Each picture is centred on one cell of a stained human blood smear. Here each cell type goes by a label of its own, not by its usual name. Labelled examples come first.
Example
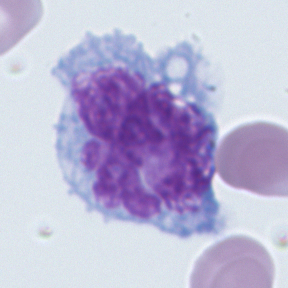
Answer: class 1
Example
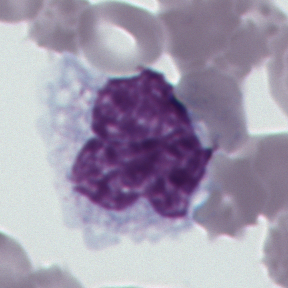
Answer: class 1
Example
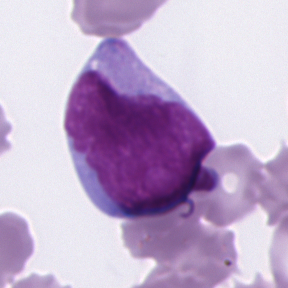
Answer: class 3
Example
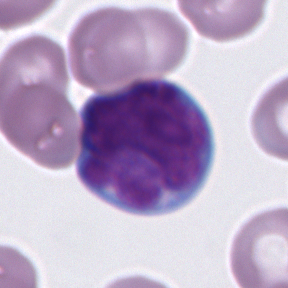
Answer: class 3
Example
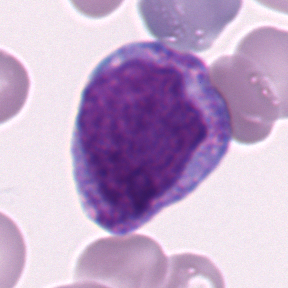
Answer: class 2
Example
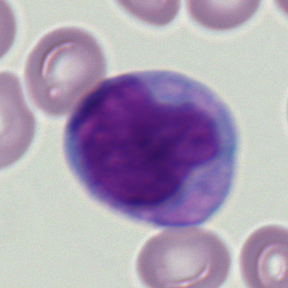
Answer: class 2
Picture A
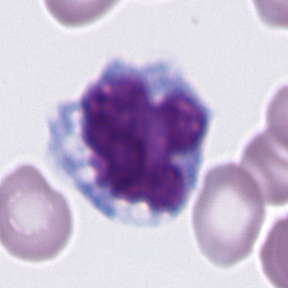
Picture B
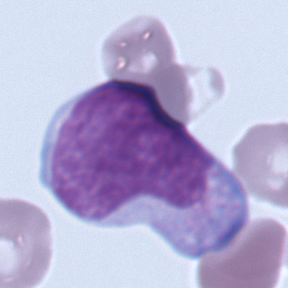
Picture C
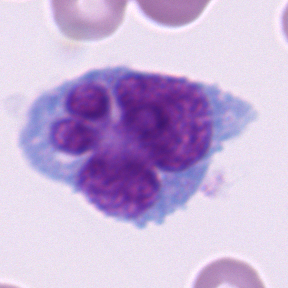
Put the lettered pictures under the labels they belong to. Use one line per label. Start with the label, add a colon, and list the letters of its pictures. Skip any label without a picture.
class 1: A, C
class 2: B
